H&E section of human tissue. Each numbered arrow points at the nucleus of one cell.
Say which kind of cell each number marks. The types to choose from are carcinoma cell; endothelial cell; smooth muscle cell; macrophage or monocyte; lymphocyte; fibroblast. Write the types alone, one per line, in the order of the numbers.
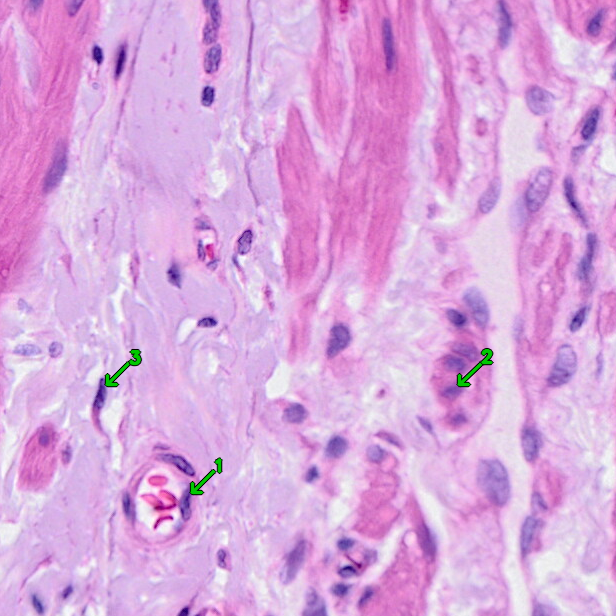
endothelial cell
smooth muscle cell
fibroblast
